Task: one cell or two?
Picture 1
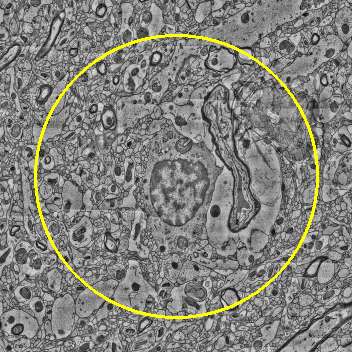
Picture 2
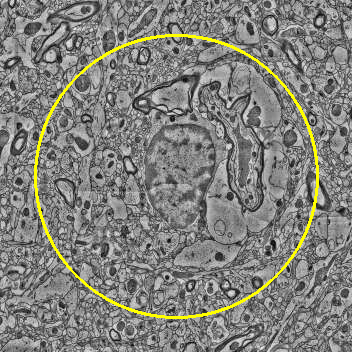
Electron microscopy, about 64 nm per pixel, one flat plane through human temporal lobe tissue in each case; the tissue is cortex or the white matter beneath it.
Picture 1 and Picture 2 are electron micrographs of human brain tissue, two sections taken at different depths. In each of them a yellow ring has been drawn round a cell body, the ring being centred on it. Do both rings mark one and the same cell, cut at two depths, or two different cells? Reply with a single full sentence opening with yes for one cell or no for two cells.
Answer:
Yes, the second ring marks the same cell as the first.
